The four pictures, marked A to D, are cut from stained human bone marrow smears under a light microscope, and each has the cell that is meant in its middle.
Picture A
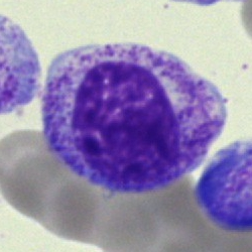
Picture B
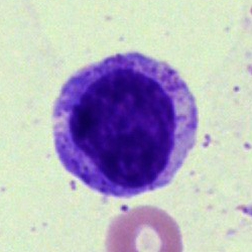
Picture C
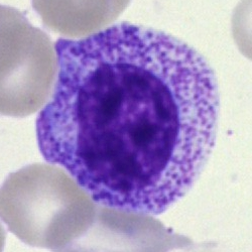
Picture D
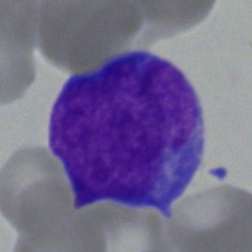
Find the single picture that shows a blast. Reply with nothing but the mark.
D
